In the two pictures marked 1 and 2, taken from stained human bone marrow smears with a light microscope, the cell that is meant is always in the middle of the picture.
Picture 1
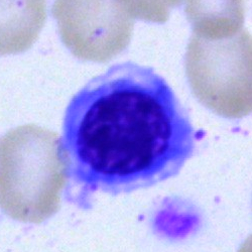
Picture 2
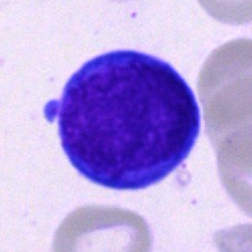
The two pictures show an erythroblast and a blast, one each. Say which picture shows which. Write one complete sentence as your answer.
It is picture 1 that shows an erythroblast, and picture 2 that shows a blast.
